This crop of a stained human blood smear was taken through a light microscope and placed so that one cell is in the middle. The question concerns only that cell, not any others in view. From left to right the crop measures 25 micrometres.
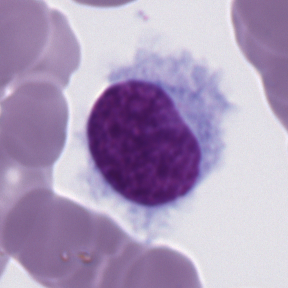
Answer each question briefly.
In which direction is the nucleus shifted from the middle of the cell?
lower left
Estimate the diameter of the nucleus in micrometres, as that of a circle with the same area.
10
